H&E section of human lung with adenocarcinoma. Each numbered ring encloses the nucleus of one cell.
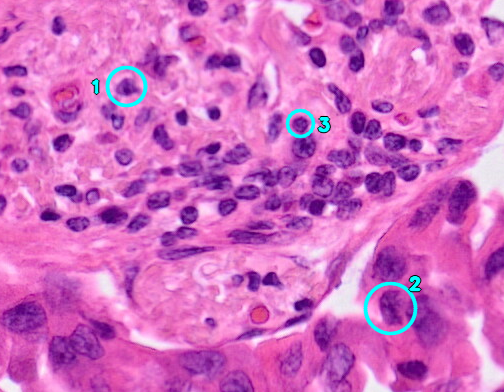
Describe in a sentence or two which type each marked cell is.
Cells 1 and 3 are lymphocytes. Cell 2 is a carcinoma cell.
